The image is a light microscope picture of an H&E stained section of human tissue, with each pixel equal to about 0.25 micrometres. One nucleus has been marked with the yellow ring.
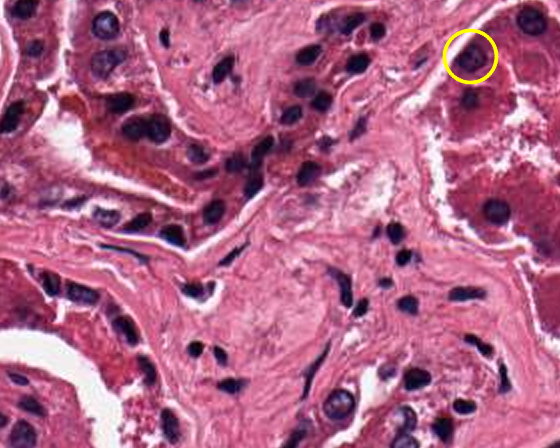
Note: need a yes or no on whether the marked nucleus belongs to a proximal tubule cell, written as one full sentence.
Yes, the marked nucleus is in a proximal tubule cell.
